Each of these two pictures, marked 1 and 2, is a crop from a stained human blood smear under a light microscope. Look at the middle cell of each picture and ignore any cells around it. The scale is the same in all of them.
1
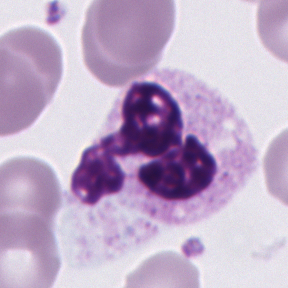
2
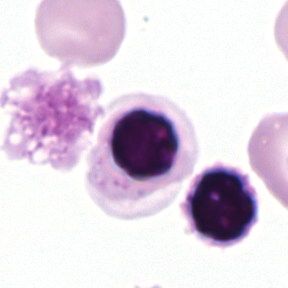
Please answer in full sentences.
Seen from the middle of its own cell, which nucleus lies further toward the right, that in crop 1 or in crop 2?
In crop 2 the nucleus is shifted more toward the right.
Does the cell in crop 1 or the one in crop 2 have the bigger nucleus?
The nucleus in crop 1 is larger, with about 2.5 times the area of the one in crop 2.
